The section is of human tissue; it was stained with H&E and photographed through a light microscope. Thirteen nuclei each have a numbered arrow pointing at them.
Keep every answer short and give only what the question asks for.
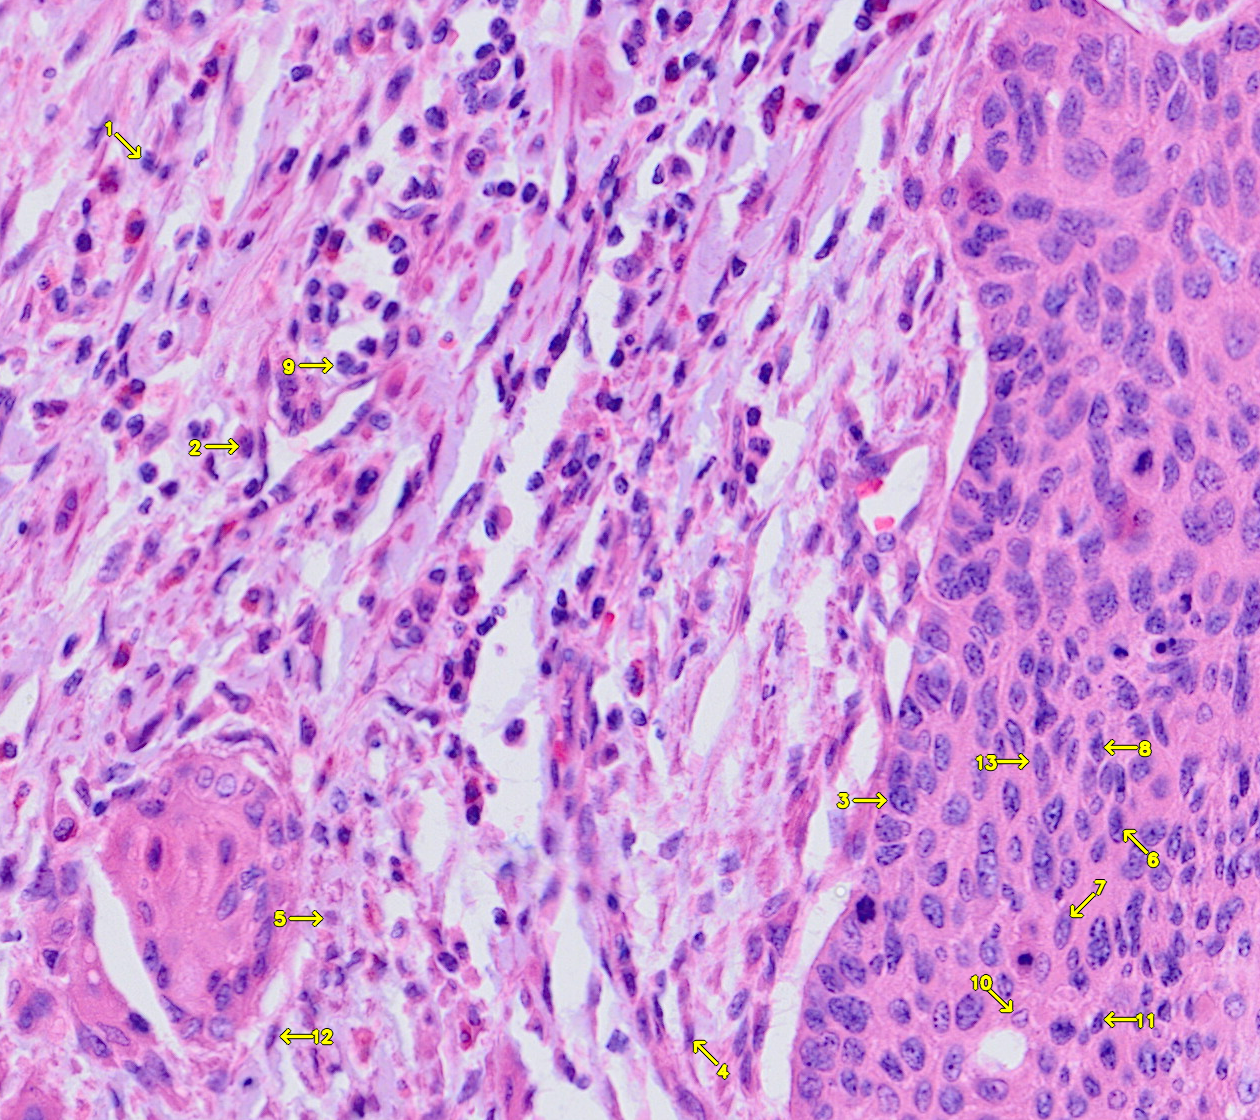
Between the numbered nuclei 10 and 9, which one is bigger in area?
9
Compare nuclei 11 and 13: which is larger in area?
13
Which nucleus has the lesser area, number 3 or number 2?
2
